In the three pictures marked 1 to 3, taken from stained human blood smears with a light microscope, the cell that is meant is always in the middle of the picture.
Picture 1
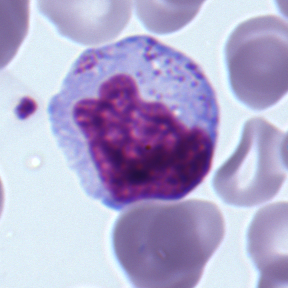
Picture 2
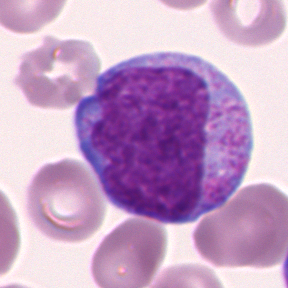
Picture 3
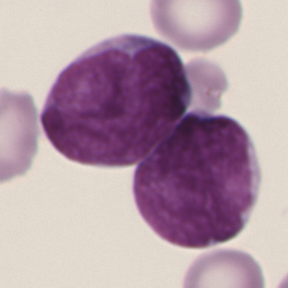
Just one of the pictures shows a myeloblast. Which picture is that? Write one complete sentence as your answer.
The picture with the myeloblast is 3.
